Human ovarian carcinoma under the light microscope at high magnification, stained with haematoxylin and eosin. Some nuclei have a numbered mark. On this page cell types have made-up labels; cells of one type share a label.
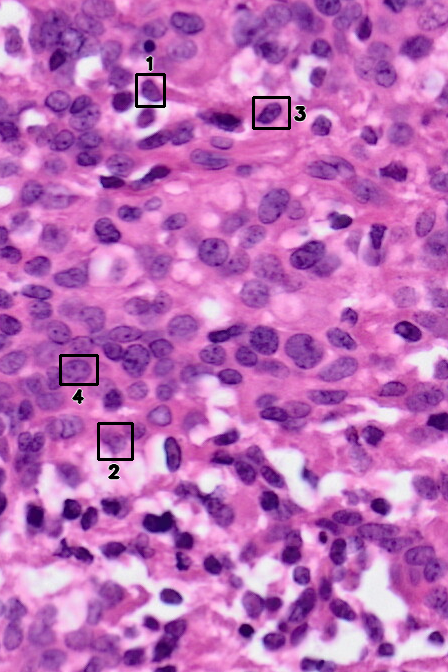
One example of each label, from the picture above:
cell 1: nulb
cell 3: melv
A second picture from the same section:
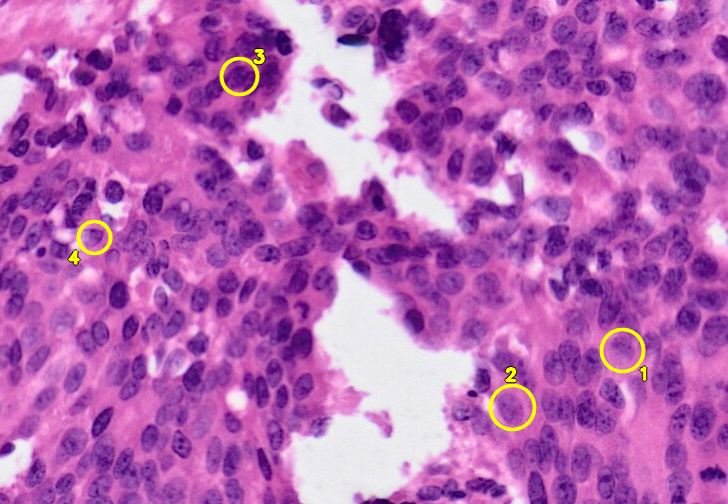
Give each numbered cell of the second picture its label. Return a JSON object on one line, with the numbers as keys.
{"1": "nulb", "2": "nulb", "3": "nulb", "4": "melv"}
